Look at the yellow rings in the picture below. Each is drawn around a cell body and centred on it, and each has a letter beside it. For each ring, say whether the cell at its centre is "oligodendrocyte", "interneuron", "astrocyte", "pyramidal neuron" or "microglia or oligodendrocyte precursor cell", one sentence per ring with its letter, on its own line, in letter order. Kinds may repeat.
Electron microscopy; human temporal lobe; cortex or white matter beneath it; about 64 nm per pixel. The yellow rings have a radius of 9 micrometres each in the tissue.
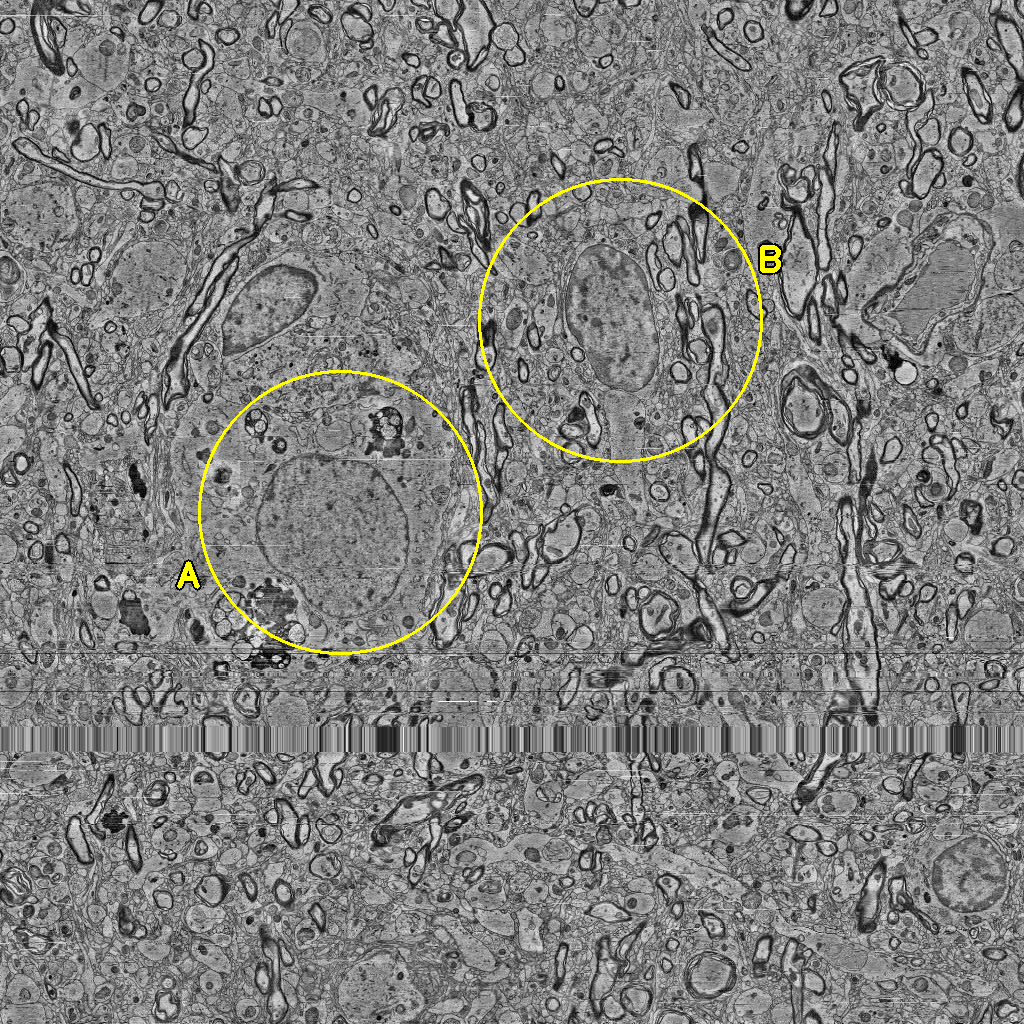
The centred cell of ring A is an astrocyte.
The centred cell of ring B is a microglial cell or oligodendrocyte precursor cell.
